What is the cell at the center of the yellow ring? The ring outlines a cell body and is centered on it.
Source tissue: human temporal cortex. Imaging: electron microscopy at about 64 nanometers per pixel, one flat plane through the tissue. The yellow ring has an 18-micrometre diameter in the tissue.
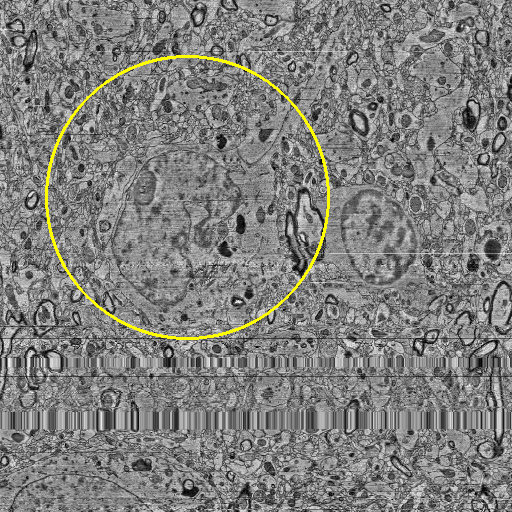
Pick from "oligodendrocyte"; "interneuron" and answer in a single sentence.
The yellow ring is centered on an interneuron.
